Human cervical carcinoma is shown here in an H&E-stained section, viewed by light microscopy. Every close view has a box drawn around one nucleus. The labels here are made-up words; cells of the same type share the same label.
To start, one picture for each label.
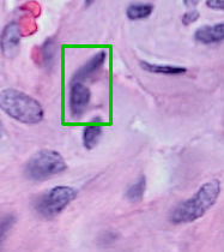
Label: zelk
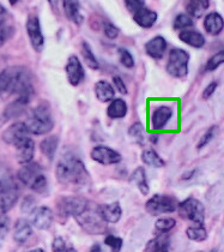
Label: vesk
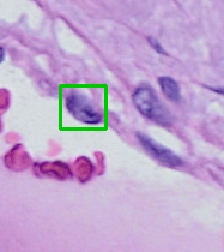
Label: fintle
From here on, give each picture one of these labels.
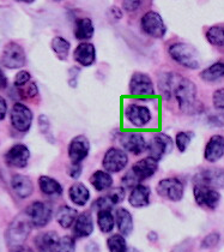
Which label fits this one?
vesk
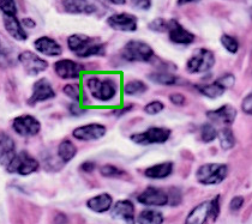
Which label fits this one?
vesk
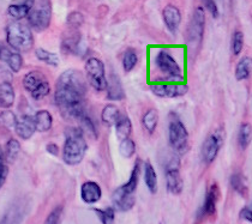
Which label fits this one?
vesk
